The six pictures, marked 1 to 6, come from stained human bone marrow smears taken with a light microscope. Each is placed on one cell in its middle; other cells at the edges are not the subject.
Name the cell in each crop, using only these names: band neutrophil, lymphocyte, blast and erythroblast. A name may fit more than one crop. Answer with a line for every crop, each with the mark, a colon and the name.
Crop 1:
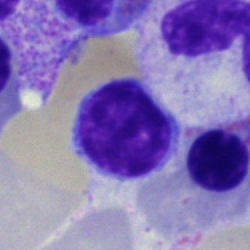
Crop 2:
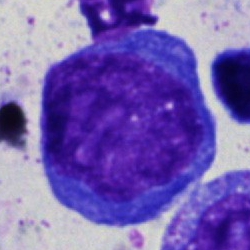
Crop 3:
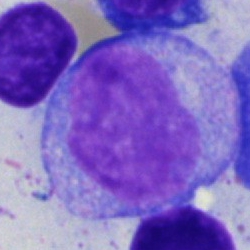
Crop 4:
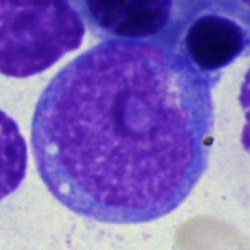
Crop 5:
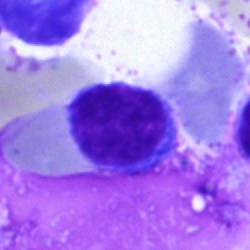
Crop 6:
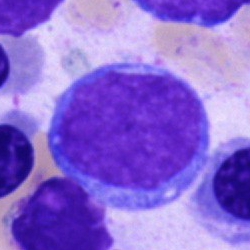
1: lymphocyte
2: blast
3: blast
4: blast
5: lymphocyte
6: blast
